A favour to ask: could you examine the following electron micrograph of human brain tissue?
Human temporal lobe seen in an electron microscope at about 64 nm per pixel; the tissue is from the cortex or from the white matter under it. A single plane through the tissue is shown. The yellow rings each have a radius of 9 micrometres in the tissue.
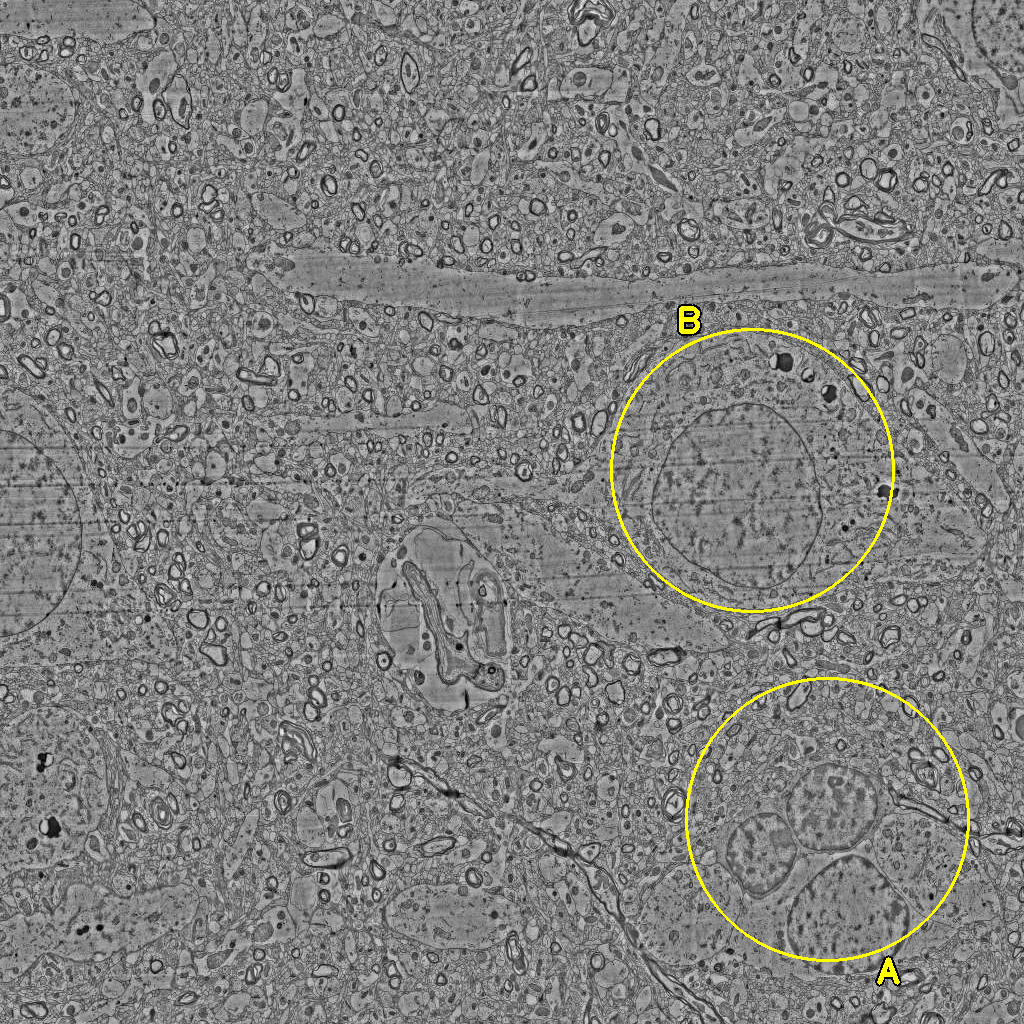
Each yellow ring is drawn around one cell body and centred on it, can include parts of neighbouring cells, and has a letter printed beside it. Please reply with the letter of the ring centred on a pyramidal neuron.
B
